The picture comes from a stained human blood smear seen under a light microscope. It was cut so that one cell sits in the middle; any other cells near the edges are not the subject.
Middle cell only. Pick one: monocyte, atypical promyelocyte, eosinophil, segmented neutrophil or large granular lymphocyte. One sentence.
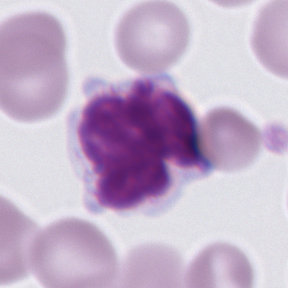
In the middle of this smear crop, the cell is a large granular lymphocyte.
